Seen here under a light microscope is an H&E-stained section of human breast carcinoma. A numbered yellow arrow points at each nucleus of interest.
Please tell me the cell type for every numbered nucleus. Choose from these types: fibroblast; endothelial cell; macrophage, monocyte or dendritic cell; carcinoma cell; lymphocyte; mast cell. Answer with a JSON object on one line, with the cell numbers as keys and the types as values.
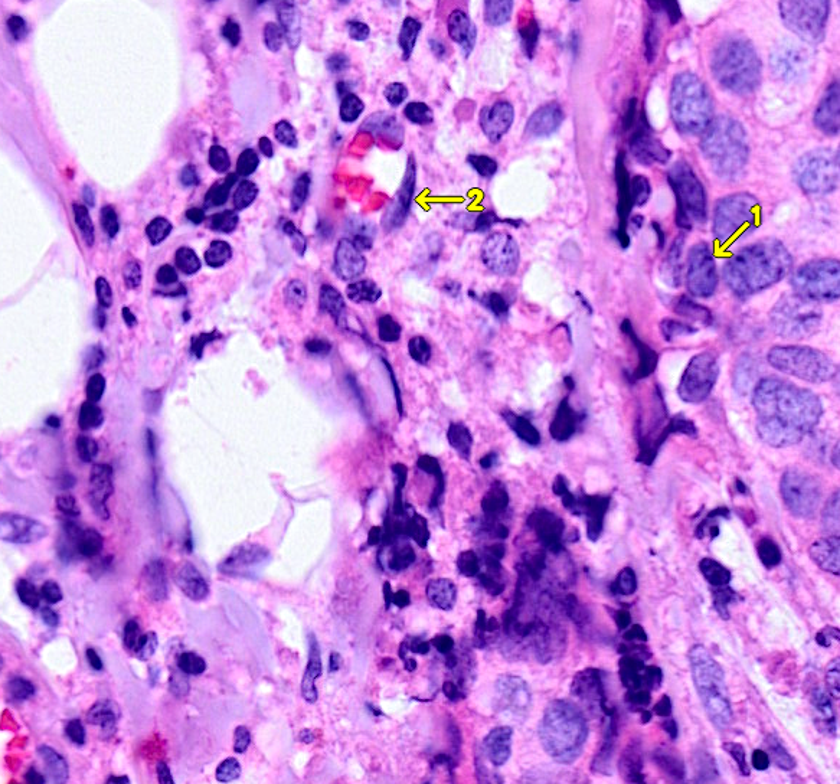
{"1": "carcinoma cell", "2": "endothelial cell"}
